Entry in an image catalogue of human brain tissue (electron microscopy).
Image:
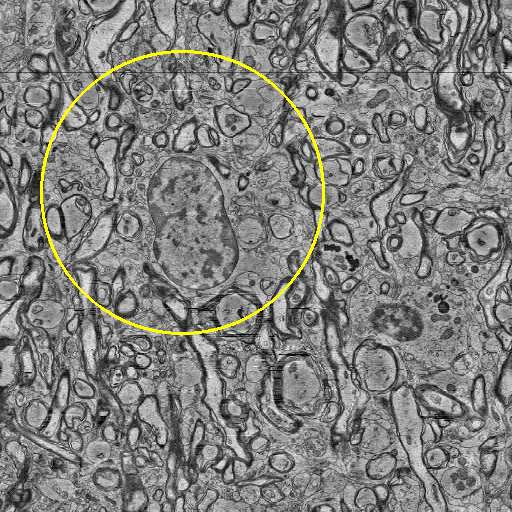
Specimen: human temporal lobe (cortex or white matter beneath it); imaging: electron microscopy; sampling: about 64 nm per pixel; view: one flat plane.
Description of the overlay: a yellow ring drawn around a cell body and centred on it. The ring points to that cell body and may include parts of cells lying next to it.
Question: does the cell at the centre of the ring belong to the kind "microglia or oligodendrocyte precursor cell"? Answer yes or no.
yes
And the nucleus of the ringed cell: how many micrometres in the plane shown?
The nucleus of the ringed cell is approximately 9 by 5 micrometres in this plane.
